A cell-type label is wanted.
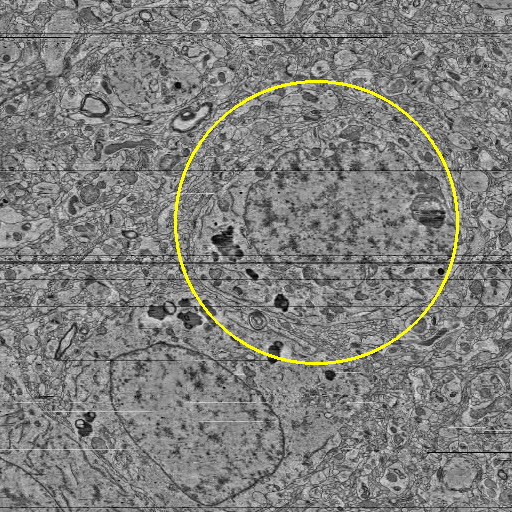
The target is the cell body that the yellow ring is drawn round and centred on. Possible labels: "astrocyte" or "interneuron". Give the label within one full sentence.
Of the labels offered, the cell in the middle of the yellow ring is an interneuron.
